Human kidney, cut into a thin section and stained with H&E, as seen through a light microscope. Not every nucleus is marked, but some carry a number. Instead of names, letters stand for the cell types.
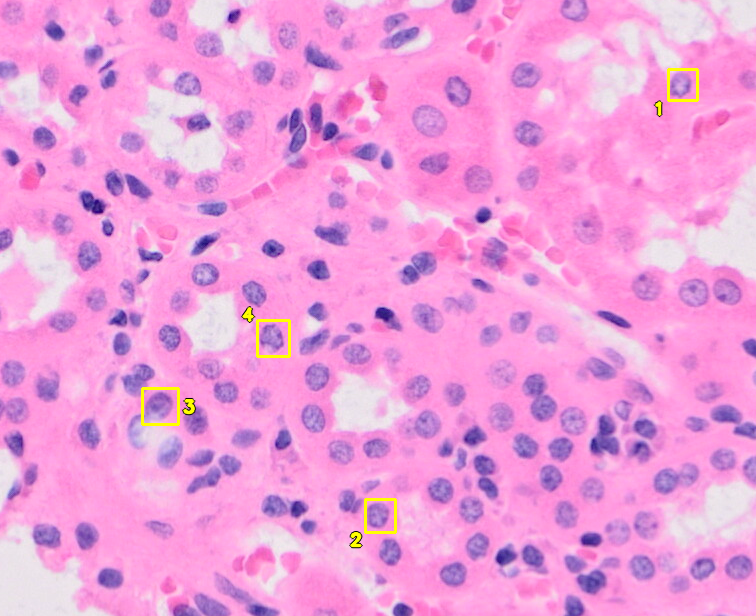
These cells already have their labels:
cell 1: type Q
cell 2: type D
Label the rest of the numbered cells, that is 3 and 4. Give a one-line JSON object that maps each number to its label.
{"3": "type D", "4": "type D"}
